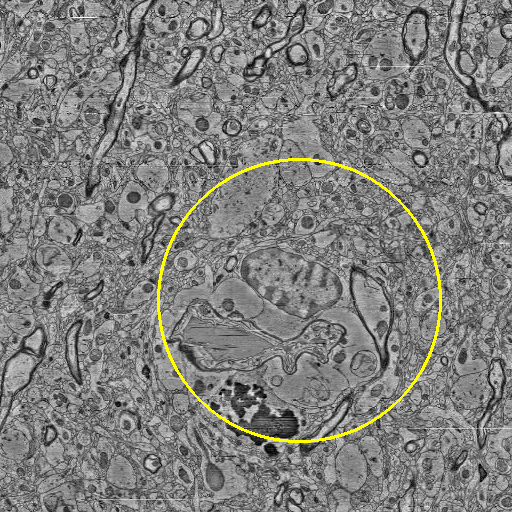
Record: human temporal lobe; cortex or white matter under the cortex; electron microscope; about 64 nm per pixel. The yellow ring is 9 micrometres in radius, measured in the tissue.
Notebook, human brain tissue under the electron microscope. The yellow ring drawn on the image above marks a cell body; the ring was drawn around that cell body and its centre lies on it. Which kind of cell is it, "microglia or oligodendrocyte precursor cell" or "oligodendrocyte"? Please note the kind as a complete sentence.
The marked cell body is that of a microglial cell or oligodendrocyte precursor cell.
